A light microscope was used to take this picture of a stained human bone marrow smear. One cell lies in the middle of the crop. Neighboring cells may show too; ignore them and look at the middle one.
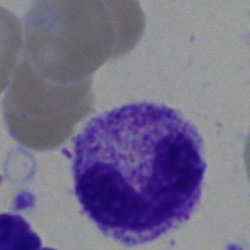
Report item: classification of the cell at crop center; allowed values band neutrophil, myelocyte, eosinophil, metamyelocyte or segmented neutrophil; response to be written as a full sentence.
Centrally within this crop lies a band neutrophil.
